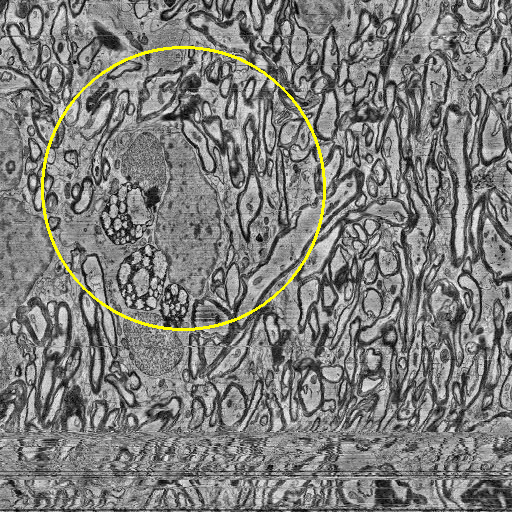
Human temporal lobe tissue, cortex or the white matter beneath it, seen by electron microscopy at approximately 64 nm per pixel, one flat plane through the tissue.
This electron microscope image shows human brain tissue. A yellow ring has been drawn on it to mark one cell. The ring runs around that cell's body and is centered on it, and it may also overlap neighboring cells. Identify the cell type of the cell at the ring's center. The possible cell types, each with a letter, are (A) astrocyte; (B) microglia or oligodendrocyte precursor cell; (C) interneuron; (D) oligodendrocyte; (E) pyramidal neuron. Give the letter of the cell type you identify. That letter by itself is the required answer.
A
